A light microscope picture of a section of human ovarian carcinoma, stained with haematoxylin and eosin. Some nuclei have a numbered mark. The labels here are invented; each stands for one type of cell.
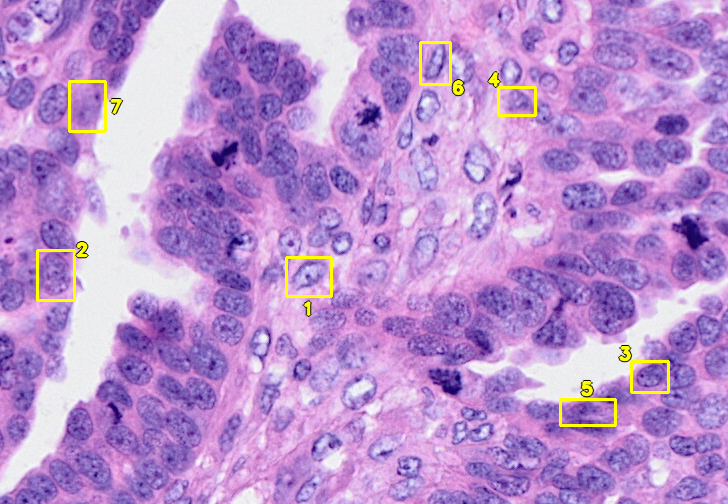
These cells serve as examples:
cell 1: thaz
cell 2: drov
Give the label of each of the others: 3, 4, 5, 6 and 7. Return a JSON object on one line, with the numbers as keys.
{"3": "drov", "4": "thaz", "5": "drov", "6": "thaz", "7": "drov"}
